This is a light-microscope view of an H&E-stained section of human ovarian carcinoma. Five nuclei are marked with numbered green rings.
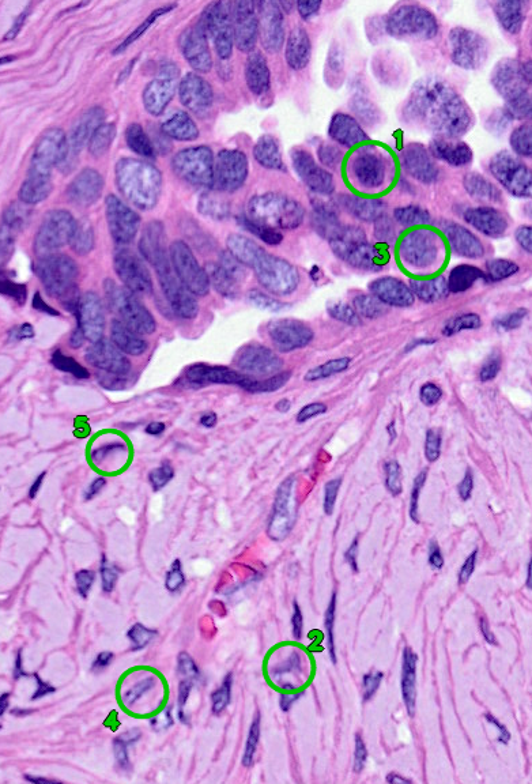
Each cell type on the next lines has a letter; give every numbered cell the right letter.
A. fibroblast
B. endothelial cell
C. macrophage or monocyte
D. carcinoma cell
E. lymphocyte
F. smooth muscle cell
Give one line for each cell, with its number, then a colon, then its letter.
1: D
2: A
3: D
4: A
5: A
